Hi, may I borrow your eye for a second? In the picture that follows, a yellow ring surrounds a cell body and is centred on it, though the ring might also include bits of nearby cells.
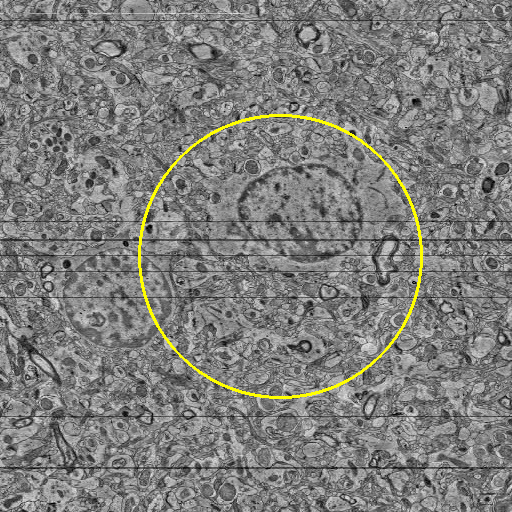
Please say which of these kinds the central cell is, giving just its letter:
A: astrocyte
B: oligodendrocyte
A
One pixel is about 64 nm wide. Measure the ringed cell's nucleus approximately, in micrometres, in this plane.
The nucleus measures about 8 by 6 micrometres in this plane.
